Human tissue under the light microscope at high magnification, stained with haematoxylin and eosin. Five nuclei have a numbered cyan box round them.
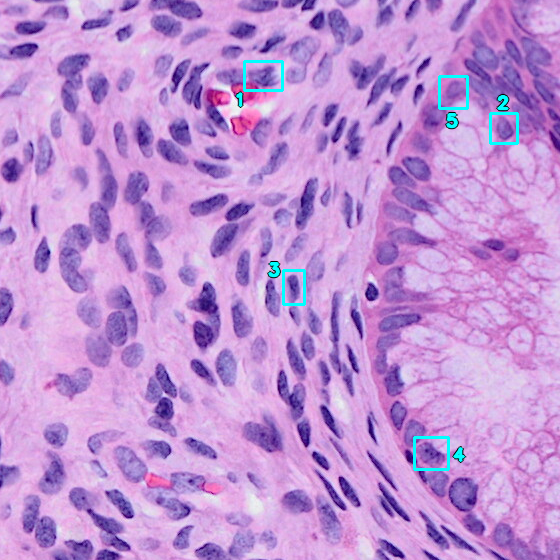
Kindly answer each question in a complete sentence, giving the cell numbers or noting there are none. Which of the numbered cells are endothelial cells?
Only at number 1 is there an endothelial cell.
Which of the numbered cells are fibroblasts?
Mind that only cell 3 is a fibroblast, none of the rest.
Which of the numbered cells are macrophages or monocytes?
There are no macrophages or monocytes in the group of numbered cells.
